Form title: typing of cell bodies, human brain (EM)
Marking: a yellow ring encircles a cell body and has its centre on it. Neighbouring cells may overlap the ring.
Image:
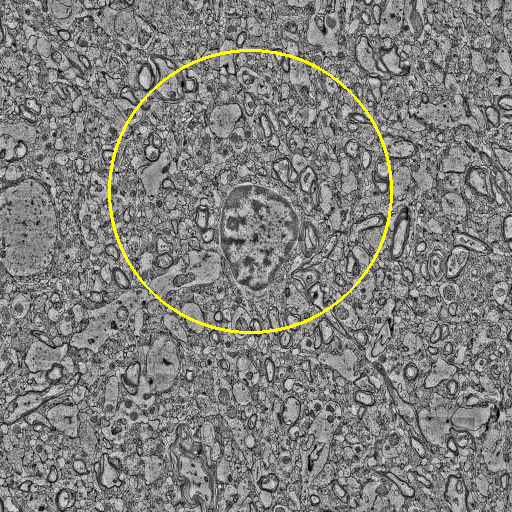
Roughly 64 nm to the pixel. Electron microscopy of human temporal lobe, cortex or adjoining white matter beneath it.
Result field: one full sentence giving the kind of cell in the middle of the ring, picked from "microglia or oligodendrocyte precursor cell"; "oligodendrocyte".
In the picture, the ring is centred on a microglial cell or oligodendrocyte precursor cell, whose cell body it encircles.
